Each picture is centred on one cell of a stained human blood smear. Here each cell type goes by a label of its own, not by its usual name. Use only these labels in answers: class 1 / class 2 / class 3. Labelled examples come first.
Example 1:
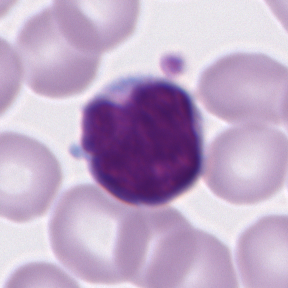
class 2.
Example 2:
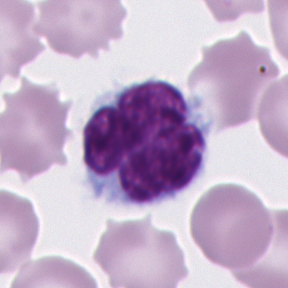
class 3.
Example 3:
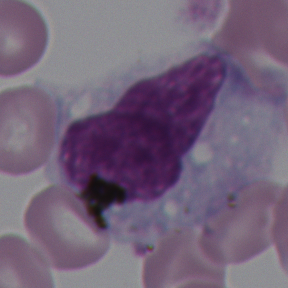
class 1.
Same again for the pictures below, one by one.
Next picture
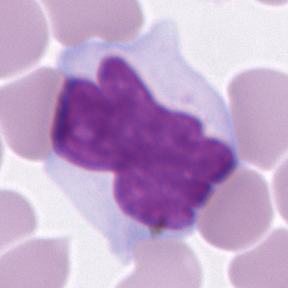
class 1.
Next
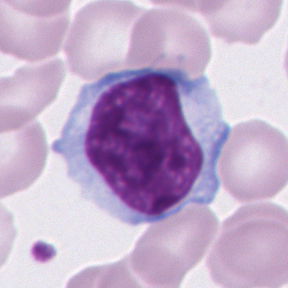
class 2.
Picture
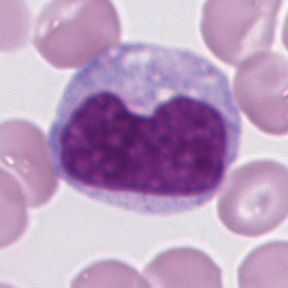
class 1.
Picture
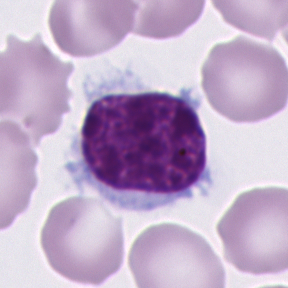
class 3.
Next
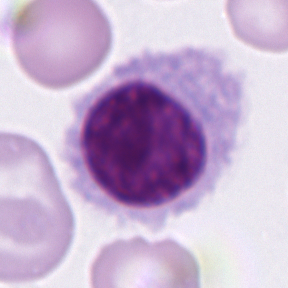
class 3.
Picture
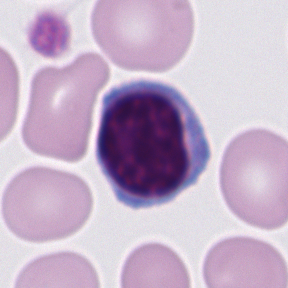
class 2.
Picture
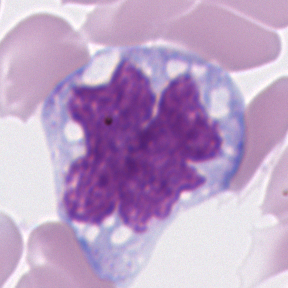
class 1.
